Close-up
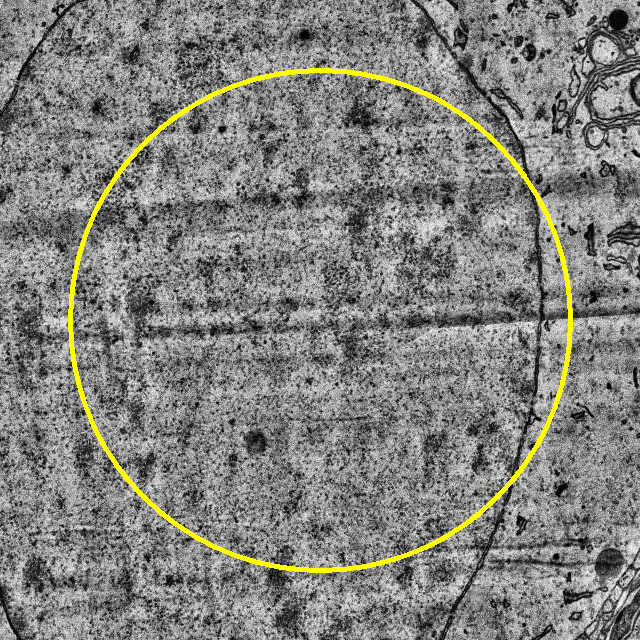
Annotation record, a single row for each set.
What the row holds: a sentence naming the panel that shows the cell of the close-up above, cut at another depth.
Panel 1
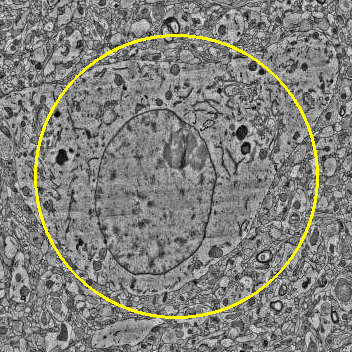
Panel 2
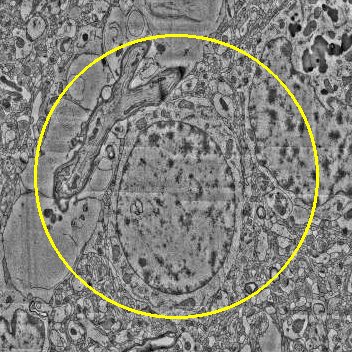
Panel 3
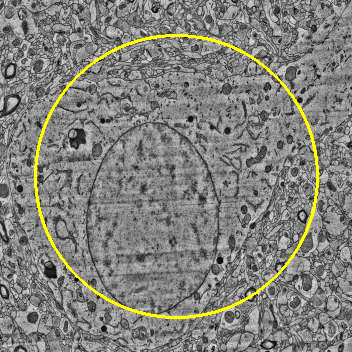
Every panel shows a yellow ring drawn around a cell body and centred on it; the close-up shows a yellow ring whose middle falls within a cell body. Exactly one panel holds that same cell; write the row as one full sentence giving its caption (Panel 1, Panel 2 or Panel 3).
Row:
The close-up zooms in on the cell circled in Panel 1.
